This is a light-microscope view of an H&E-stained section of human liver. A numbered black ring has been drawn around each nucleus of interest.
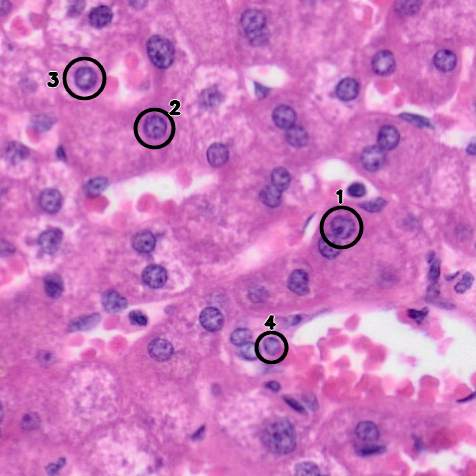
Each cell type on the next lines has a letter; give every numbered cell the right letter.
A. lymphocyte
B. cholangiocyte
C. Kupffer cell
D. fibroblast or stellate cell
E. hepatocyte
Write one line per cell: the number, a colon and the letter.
1: E
2: E
3: E
4: B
